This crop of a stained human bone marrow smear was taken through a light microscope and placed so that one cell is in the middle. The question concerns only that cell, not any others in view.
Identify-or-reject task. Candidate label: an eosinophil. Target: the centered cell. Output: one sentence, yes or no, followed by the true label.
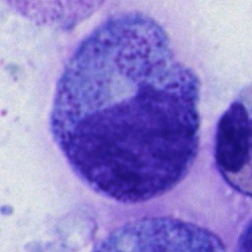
No, the cell placed in the centre is a promyelocyte and is not an eosinophil.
